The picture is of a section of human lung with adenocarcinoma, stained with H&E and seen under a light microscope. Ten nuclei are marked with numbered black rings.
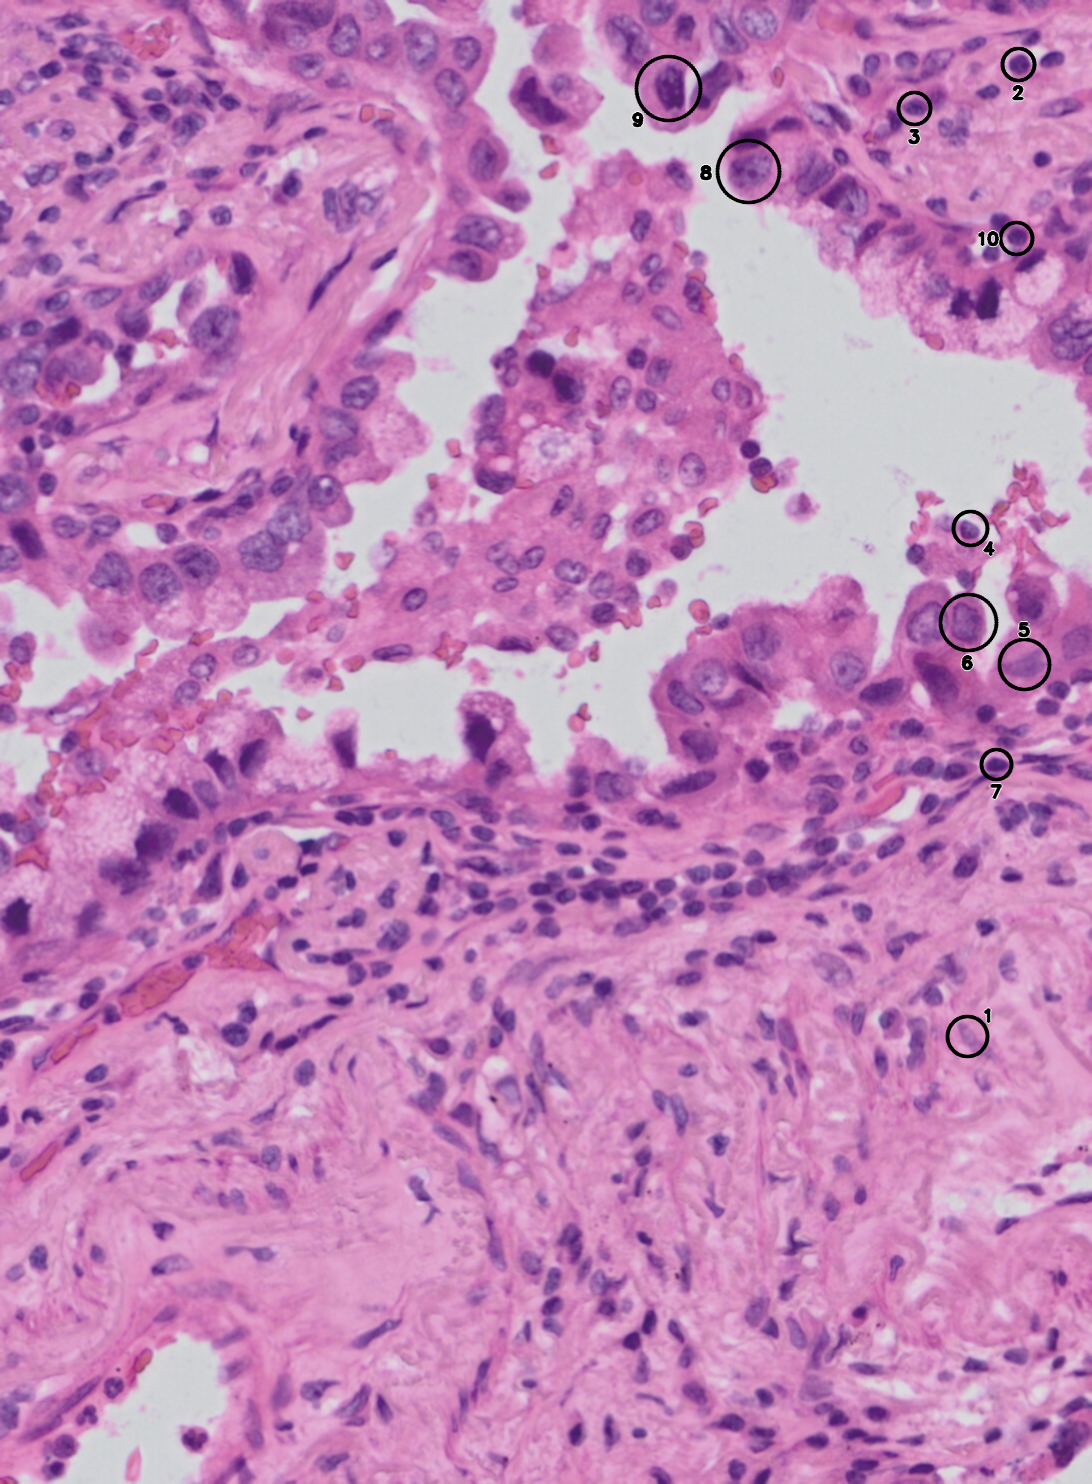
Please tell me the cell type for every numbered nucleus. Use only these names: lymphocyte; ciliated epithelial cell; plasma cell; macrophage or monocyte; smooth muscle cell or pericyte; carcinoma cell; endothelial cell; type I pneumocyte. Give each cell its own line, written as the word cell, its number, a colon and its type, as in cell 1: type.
cell 1: smooth muscle cell or pericyte
cell 2: lymphocyte
cell 3: lymphocyte
cell 4: lymphocyte
cell 5: carcinoma cell
cell 6: carcinoma cell
cell 7: lymphocyte
cell 8: carcinoma cell
cell 9: carcinoma cell
cell 10: lymphocyte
